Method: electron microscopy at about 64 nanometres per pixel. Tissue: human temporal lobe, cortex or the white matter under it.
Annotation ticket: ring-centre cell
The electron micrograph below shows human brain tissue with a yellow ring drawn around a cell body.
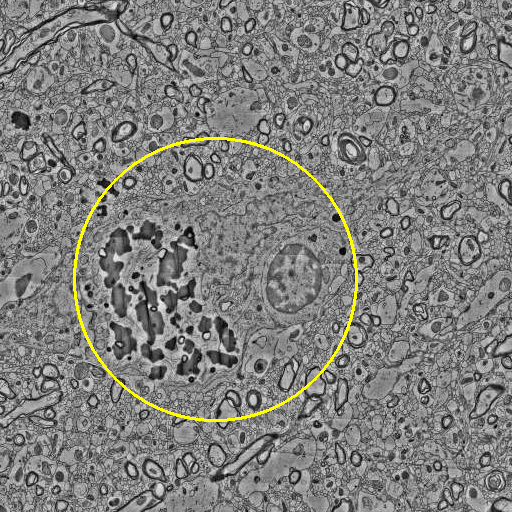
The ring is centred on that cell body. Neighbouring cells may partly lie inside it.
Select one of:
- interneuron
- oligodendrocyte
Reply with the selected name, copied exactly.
interneuron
